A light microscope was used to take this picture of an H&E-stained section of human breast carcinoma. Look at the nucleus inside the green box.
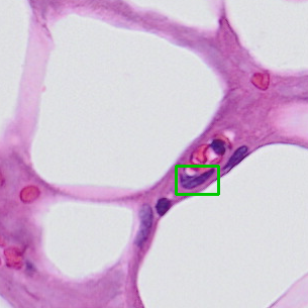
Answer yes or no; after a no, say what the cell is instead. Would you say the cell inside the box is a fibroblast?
No, it is an endothelial cell.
